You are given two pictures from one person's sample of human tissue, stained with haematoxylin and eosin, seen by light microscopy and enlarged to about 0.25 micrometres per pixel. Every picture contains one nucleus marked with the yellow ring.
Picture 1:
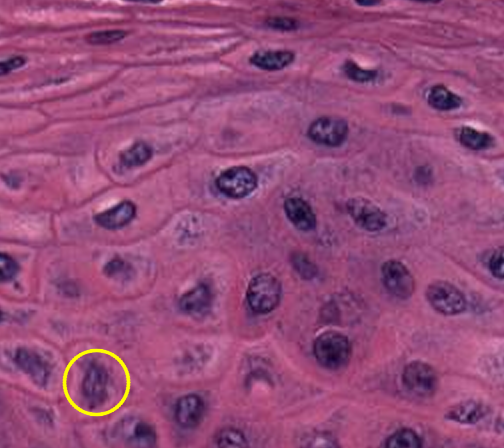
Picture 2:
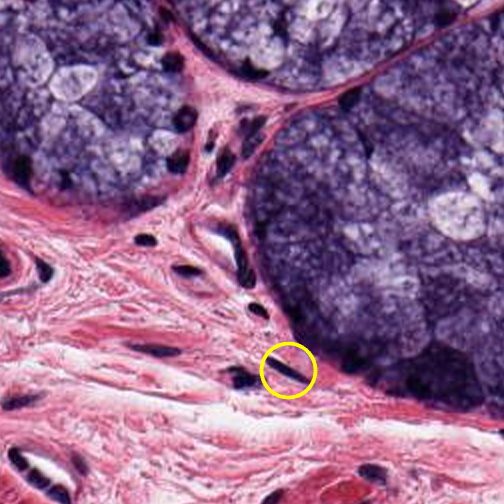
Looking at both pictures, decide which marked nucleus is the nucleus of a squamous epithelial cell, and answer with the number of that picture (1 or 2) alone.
1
